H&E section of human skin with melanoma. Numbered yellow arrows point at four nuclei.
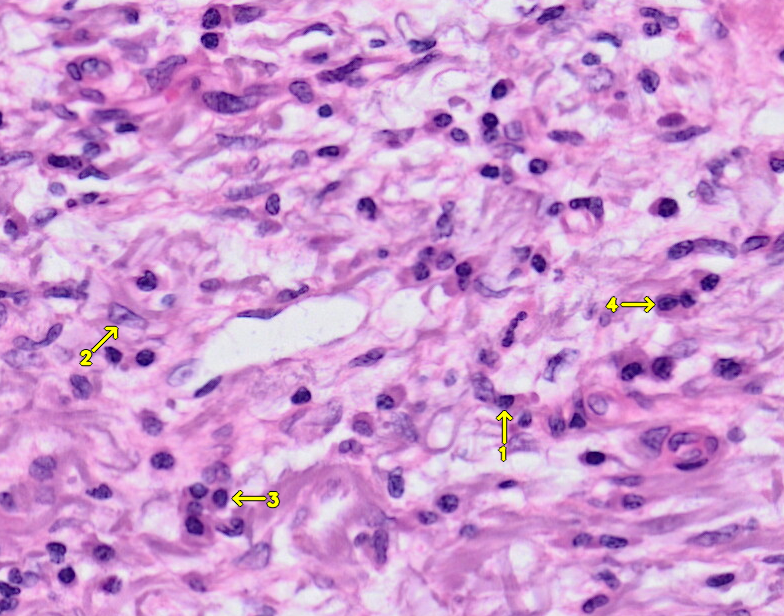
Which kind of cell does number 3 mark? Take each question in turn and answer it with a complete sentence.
The label 3 in this section denotes a plasma cell.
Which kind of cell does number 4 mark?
The one labeled 4 is a plasma cell, to put it simply.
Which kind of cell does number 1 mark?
The marked cell with the number 1 is recognised as a plasma cell.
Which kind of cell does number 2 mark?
The marked cell with the number 2 is recognised as a fibroblast or myofibroblast.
